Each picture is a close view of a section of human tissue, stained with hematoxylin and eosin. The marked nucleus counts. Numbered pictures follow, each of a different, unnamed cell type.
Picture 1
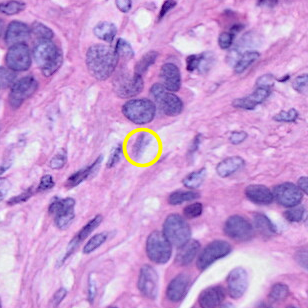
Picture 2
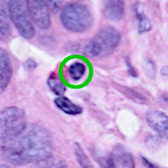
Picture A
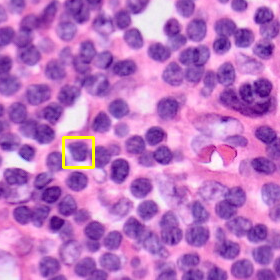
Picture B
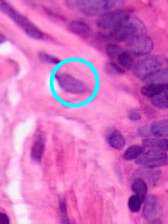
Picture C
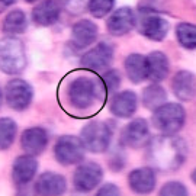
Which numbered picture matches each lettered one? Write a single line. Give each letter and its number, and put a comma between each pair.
A 2, B 1, C 2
